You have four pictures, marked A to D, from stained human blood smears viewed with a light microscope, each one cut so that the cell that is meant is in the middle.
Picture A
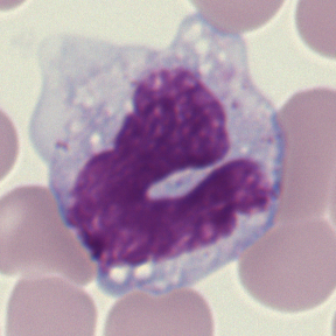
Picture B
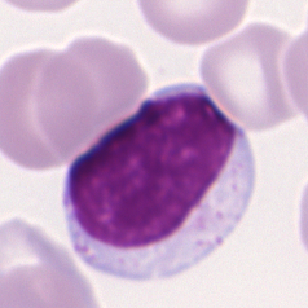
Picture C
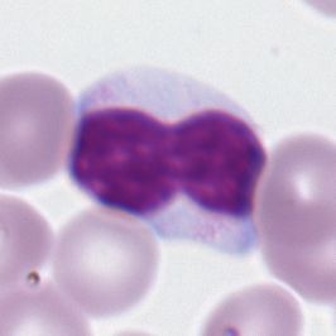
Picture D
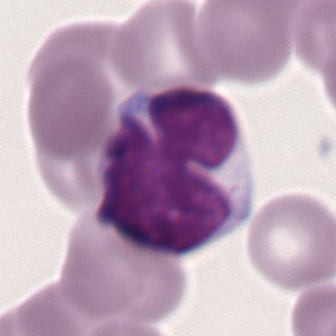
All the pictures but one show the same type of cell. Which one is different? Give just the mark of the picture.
A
